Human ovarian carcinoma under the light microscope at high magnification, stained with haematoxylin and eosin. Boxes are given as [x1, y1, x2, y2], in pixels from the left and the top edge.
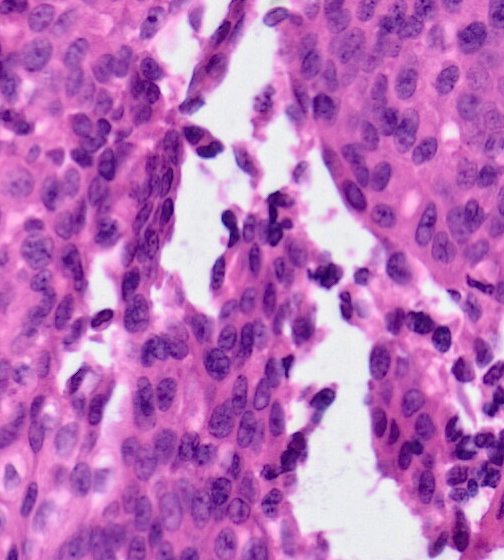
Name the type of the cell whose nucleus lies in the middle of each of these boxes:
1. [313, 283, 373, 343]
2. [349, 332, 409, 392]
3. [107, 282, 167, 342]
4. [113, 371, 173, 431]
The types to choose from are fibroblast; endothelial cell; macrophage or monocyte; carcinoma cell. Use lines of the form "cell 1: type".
cell 1: macrophage or monocyte
cell 2: carcinoma cell
cell 3: carcinoma cell
cell 4: carcinoma cell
